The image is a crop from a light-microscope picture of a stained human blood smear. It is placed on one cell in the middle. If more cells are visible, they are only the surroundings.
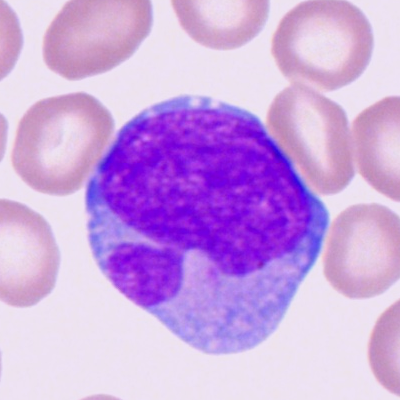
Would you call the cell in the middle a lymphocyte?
no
